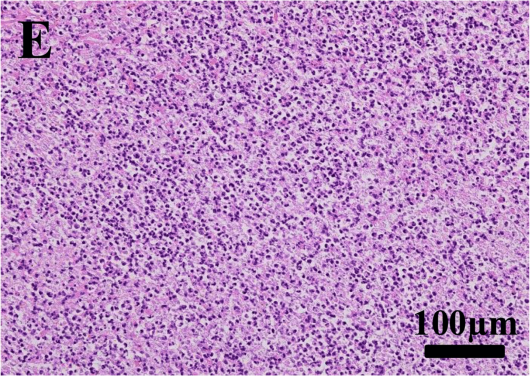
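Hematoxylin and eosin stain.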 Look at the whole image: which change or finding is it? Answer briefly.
Abundant neutrophilic infiltration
